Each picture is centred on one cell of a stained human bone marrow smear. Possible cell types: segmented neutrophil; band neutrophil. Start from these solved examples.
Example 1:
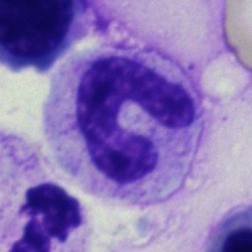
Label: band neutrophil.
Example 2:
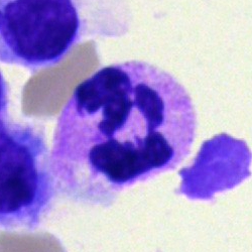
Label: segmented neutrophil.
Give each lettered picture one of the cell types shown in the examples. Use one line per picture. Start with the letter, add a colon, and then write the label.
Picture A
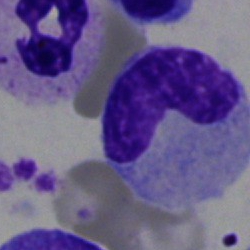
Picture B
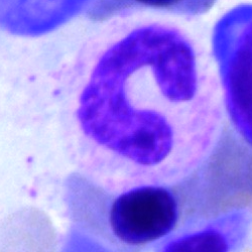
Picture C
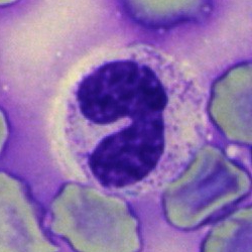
A: band neutrophil.
B: band neutrophil.
C: band neutrophil.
